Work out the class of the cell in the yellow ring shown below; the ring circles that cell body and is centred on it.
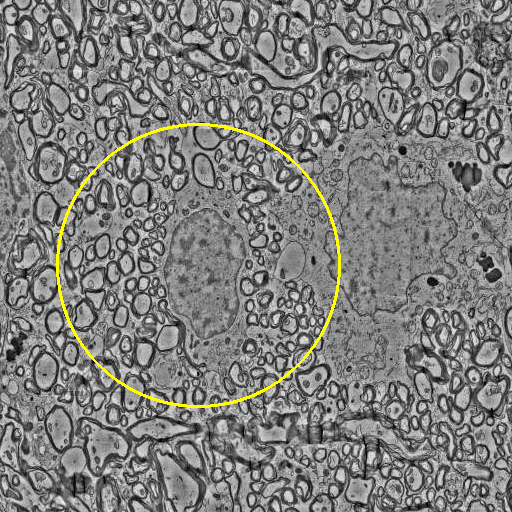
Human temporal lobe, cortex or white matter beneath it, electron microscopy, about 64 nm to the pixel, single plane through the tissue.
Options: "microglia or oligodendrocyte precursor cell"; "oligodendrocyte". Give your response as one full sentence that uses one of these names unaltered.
The body ringed in yellow, right at the ring's centre, is that of an oligodendrocyte.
